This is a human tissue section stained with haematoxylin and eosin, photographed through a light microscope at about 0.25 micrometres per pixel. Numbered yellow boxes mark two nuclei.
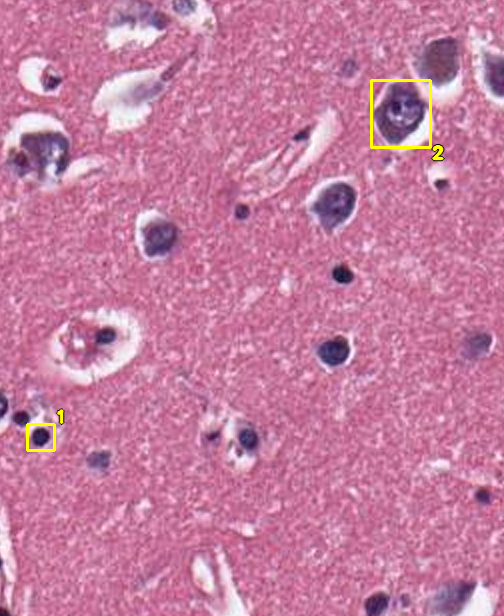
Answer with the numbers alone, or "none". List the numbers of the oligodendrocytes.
1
